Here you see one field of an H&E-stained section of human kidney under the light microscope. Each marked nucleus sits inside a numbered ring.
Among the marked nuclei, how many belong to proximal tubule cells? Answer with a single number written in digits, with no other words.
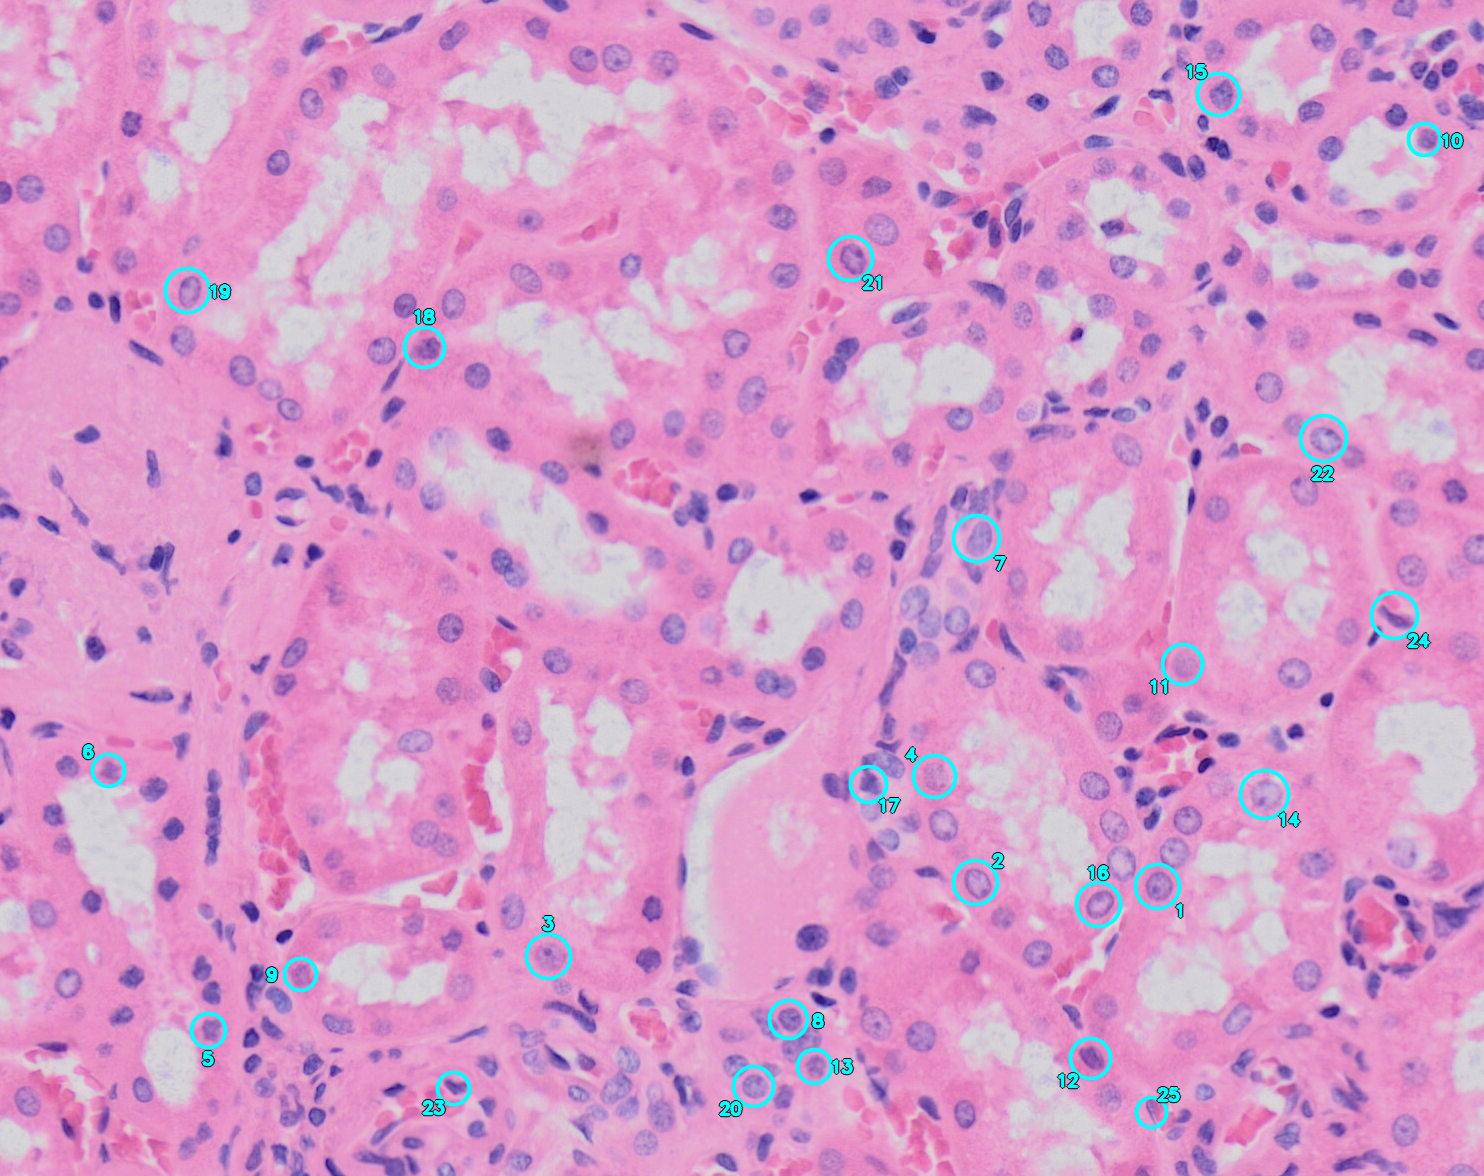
13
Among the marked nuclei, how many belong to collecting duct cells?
5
